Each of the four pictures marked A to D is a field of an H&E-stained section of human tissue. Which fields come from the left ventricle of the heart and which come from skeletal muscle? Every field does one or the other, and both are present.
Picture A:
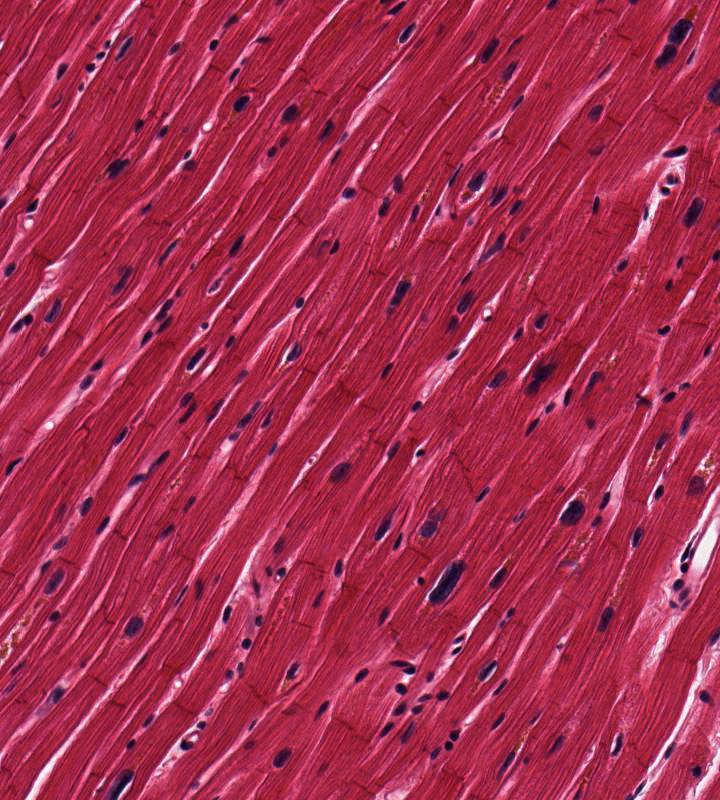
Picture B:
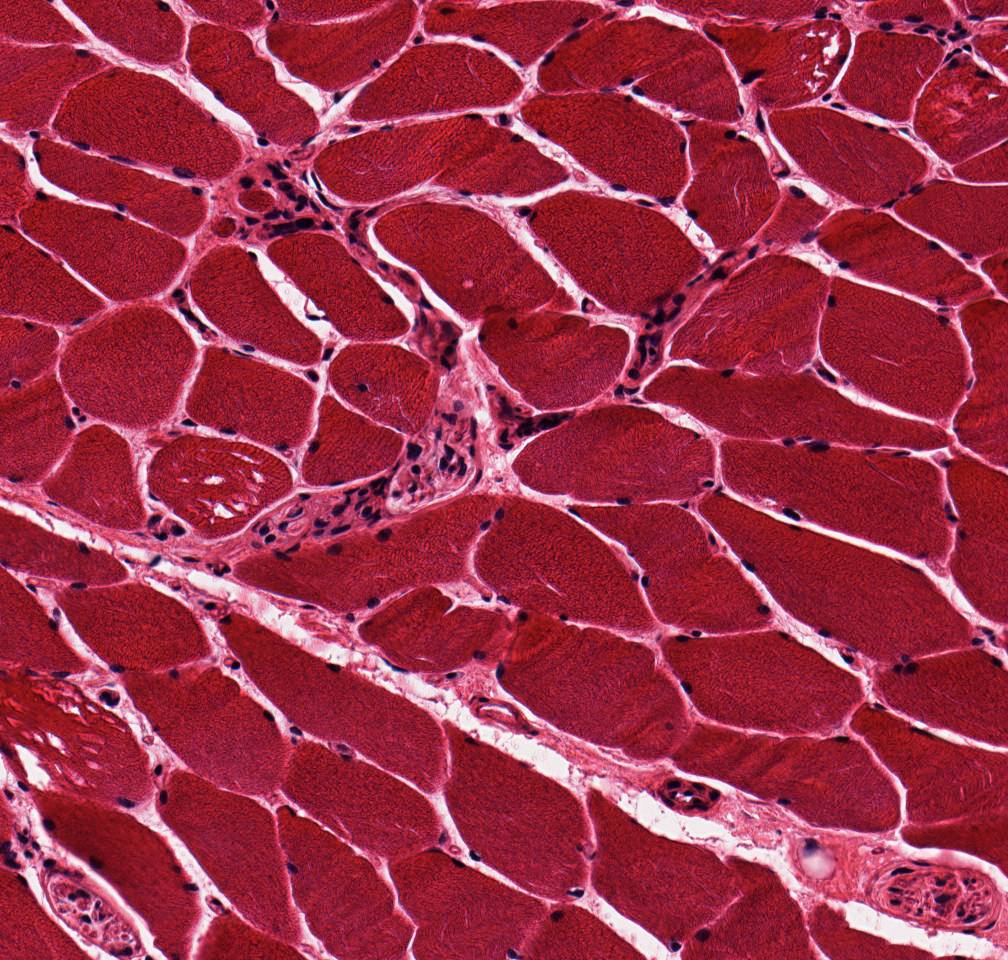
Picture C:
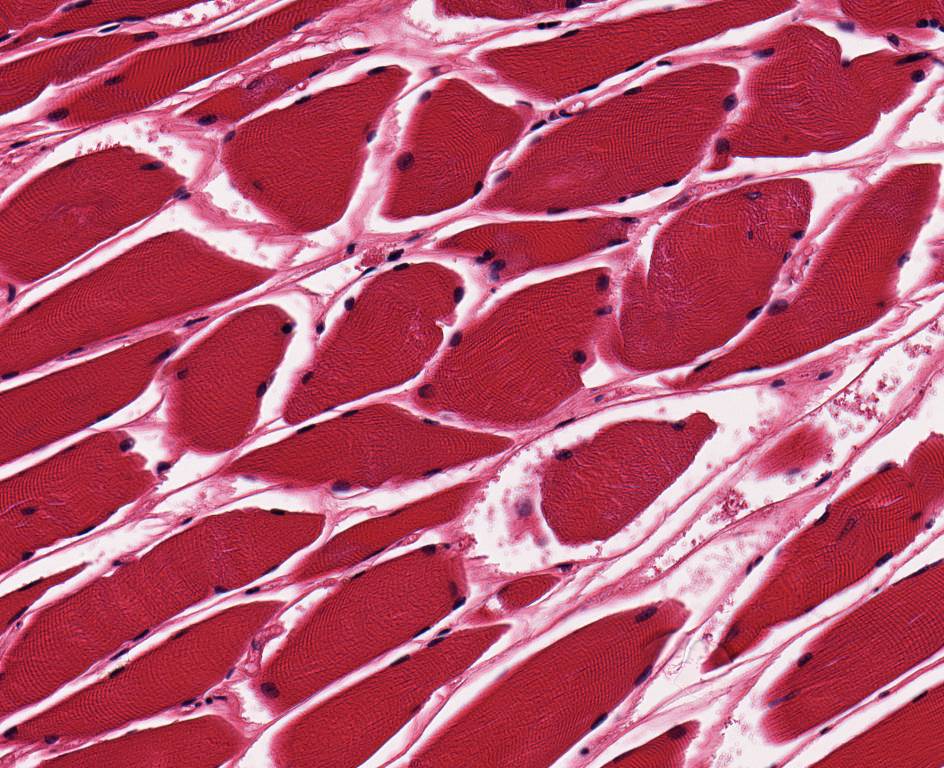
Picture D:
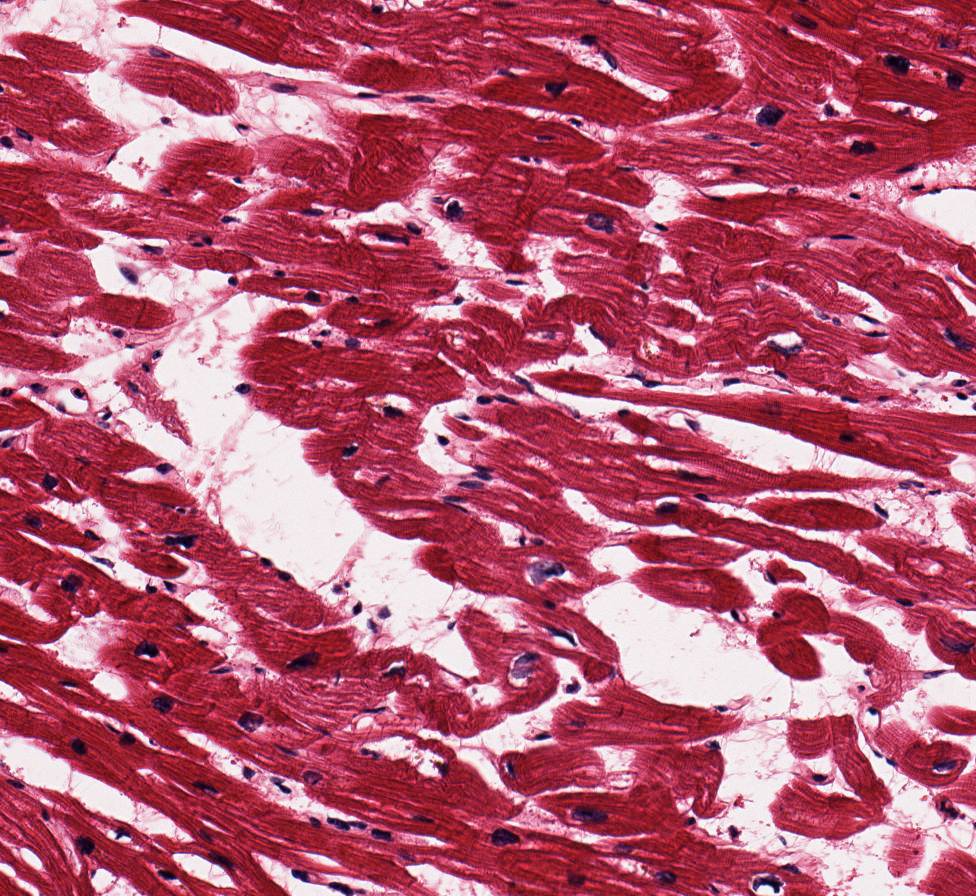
A: left ventricle of the heart
B: skeletal muscle
C: skeletal muscle
D: left ventricle of the heart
